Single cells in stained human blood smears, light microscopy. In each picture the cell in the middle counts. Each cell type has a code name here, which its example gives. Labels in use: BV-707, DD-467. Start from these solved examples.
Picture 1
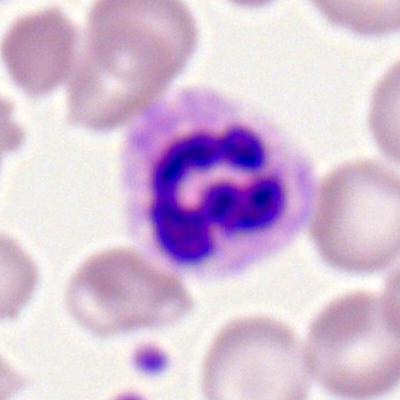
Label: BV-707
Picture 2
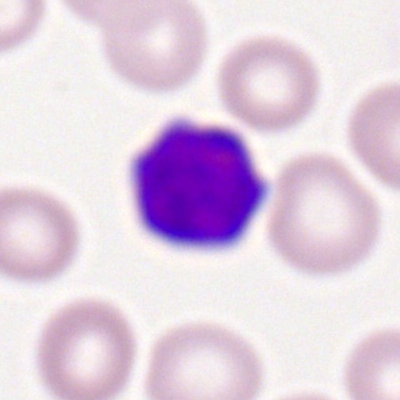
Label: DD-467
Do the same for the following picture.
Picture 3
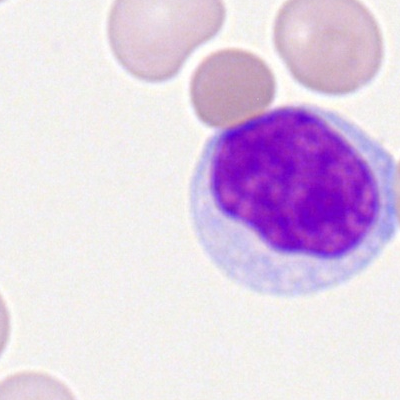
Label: DD-467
